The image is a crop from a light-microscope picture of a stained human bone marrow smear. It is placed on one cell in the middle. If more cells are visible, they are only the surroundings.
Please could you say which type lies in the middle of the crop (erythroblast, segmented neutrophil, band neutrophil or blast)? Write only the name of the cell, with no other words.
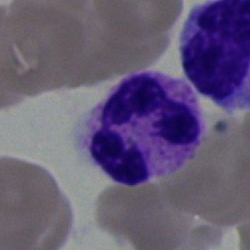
segmented neutrophil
